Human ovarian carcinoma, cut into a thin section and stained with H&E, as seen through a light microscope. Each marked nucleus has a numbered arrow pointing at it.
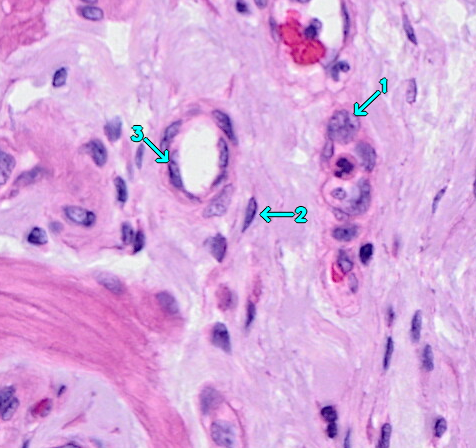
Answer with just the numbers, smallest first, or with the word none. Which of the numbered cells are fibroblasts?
2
